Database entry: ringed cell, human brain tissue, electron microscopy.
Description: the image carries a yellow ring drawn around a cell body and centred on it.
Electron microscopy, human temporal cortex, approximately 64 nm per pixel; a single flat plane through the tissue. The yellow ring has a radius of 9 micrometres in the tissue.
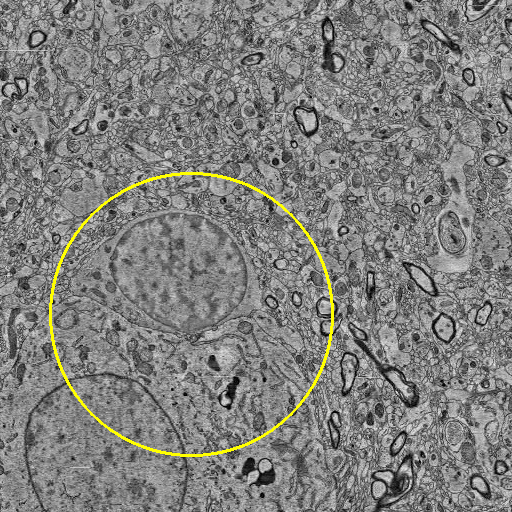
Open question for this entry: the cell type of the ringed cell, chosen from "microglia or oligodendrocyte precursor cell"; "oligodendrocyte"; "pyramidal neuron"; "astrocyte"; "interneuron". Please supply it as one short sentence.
The ringed cell is an oligodendrocyte.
